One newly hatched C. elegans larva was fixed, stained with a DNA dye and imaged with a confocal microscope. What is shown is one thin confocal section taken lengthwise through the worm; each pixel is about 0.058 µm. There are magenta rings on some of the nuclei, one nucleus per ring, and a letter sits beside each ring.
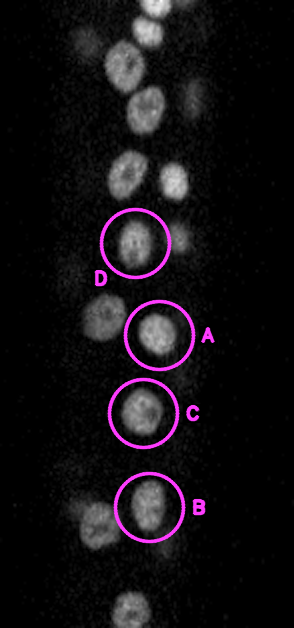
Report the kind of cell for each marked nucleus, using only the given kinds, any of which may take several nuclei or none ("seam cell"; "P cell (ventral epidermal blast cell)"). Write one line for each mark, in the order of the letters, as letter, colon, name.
A: P cell (ventral epidermal blast cell)
B: P cell (ventral epidermal blast cell)
C: seam cell
D: seam cell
